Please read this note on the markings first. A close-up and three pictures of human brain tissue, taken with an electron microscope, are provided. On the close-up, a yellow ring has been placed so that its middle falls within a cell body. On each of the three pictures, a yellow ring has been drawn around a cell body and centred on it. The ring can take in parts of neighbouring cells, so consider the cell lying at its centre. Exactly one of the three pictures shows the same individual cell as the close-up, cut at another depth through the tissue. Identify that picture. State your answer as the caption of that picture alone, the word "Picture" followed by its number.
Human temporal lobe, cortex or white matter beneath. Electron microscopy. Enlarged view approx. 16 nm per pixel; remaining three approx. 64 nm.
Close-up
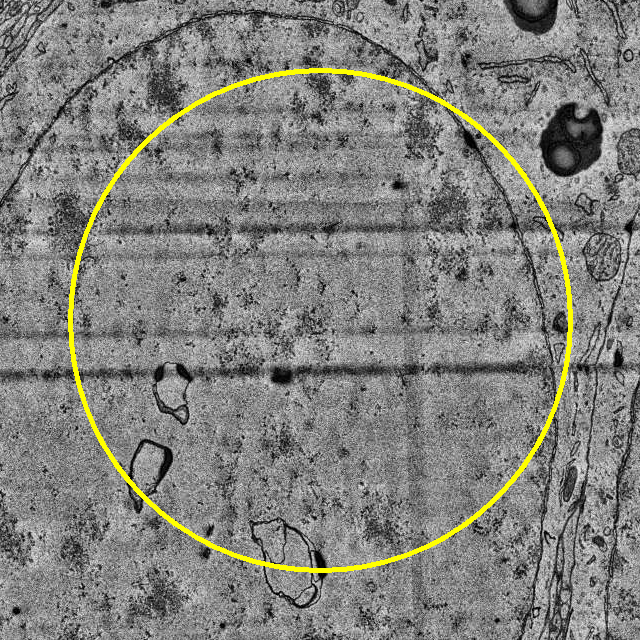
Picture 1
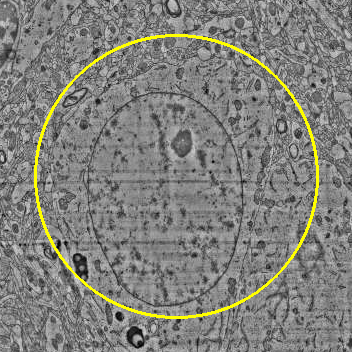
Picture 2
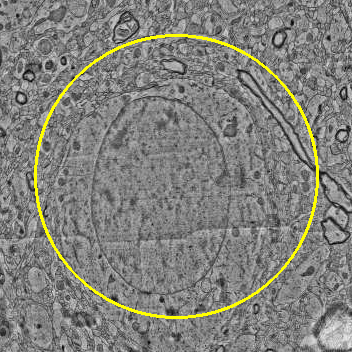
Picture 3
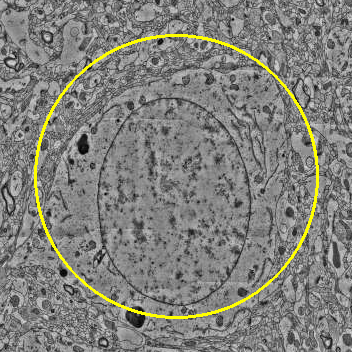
Picture 1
